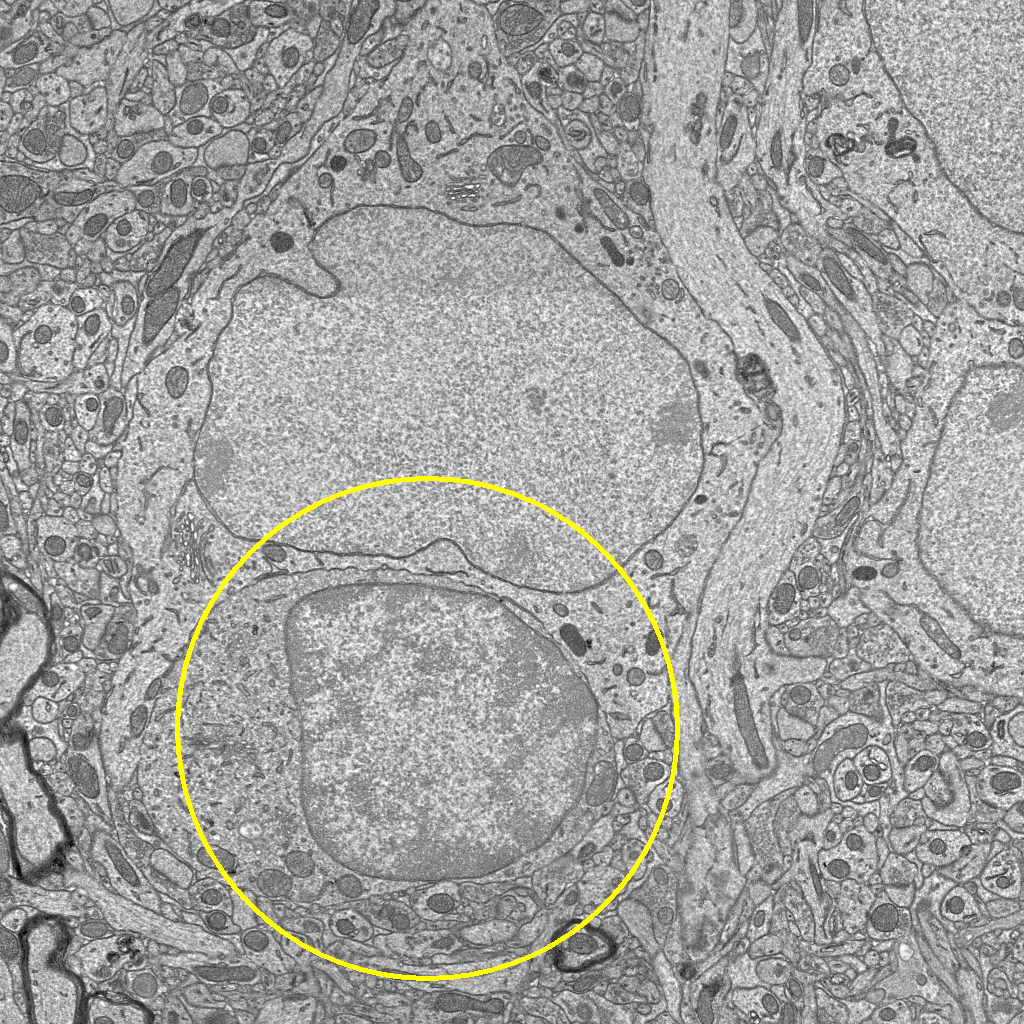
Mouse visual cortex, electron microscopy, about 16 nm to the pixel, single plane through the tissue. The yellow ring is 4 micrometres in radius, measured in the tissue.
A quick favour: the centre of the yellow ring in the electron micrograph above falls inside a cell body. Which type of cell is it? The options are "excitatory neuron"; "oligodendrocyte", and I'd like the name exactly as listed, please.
oligodendrocyte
